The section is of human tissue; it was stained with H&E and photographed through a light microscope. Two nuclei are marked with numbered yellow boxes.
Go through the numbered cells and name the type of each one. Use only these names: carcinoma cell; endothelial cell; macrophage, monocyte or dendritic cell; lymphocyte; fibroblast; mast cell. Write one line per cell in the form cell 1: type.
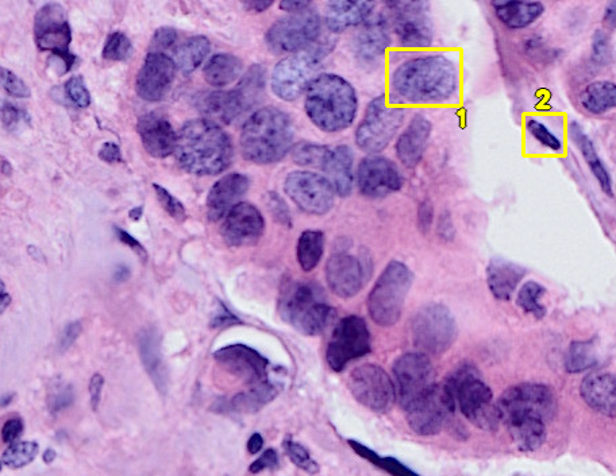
cell 1: carcinoma cell
cell 2: lymphocyte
